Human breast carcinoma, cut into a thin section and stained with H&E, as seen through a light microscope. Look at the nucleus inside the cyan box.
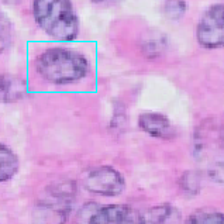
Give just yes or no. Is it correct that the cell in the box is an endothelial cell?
no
